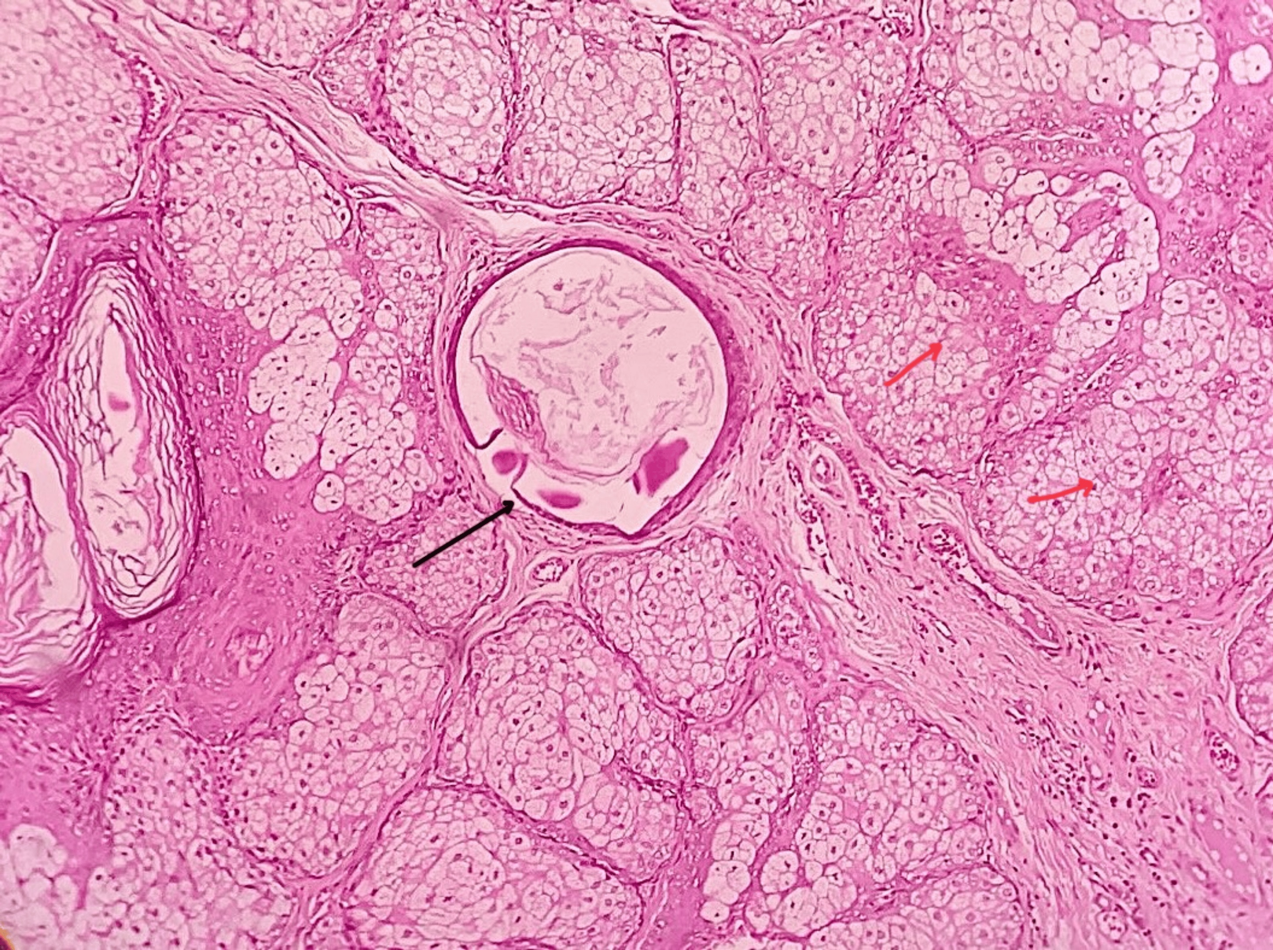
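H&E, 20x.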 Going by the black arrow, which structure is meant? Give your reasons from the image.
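Central sebaceous duct. The black arrow points to a round, dilated lumen lined by a thin layer of flattened epithelium. The lumen holds pale, wavy, flaky material with a few deep pink clumps. Lobules of pale, foamy cells surround this lumen.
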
